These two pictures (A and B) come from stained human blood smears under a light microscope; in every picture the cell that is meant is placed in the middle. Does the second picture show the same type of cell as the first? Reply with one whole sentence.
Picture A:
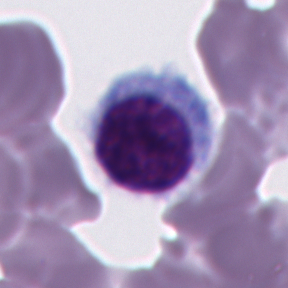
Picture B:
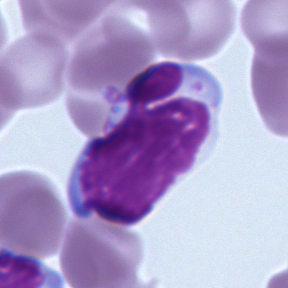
No, picture A shows a hairy cell and picture B shows a large granular lymphocyte.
